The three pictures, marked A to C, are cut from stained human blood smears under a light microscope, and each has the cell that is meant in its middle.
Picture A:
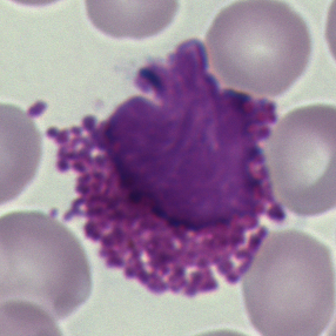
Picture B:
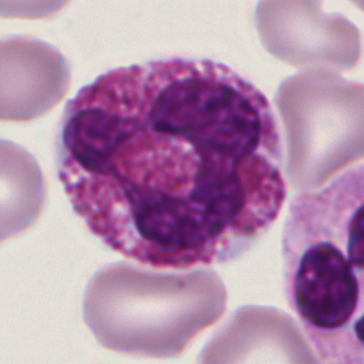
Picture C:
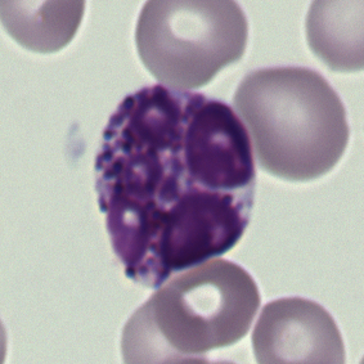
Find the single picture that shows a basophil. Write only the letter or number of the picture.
C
